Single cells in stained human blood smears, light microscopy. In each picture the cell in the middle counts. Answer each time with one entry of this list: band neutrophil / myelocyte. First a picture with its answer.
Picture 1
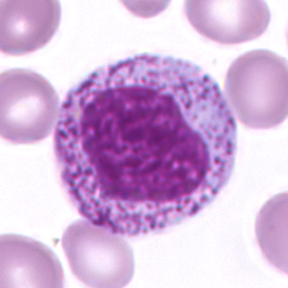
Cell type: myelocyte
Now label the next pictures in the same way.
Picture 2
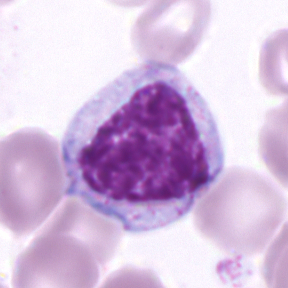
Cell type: myelocyte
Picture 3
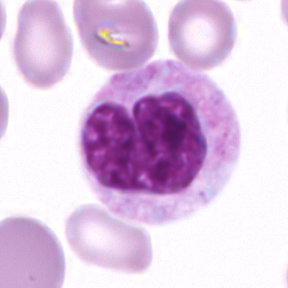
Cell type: band neutrophil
